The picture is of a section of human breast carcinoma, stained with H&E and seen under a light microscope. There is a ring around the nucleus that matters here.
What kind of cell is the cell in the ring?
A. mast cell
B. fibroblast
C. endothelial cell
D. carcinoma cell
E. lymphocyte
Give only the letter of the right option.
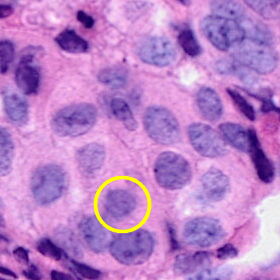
D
